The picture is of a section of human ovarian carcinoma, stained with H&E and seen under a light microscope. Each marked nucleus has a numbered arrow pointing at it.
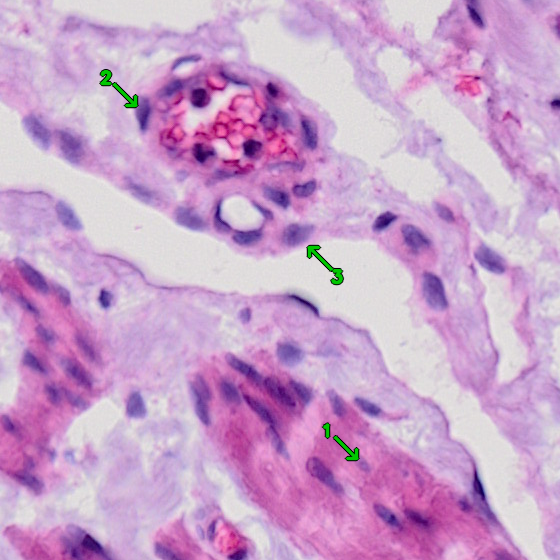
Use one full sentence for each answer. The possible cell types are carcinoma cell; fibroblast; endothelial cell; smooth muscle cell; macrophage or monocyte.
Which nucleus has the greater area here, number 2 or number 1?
Number 2 is larger; its area is about 4 times that of number 1.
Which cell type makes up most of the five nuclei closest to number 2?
The majority of the five nuclei closest to number 2 belong to endothelial cells.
